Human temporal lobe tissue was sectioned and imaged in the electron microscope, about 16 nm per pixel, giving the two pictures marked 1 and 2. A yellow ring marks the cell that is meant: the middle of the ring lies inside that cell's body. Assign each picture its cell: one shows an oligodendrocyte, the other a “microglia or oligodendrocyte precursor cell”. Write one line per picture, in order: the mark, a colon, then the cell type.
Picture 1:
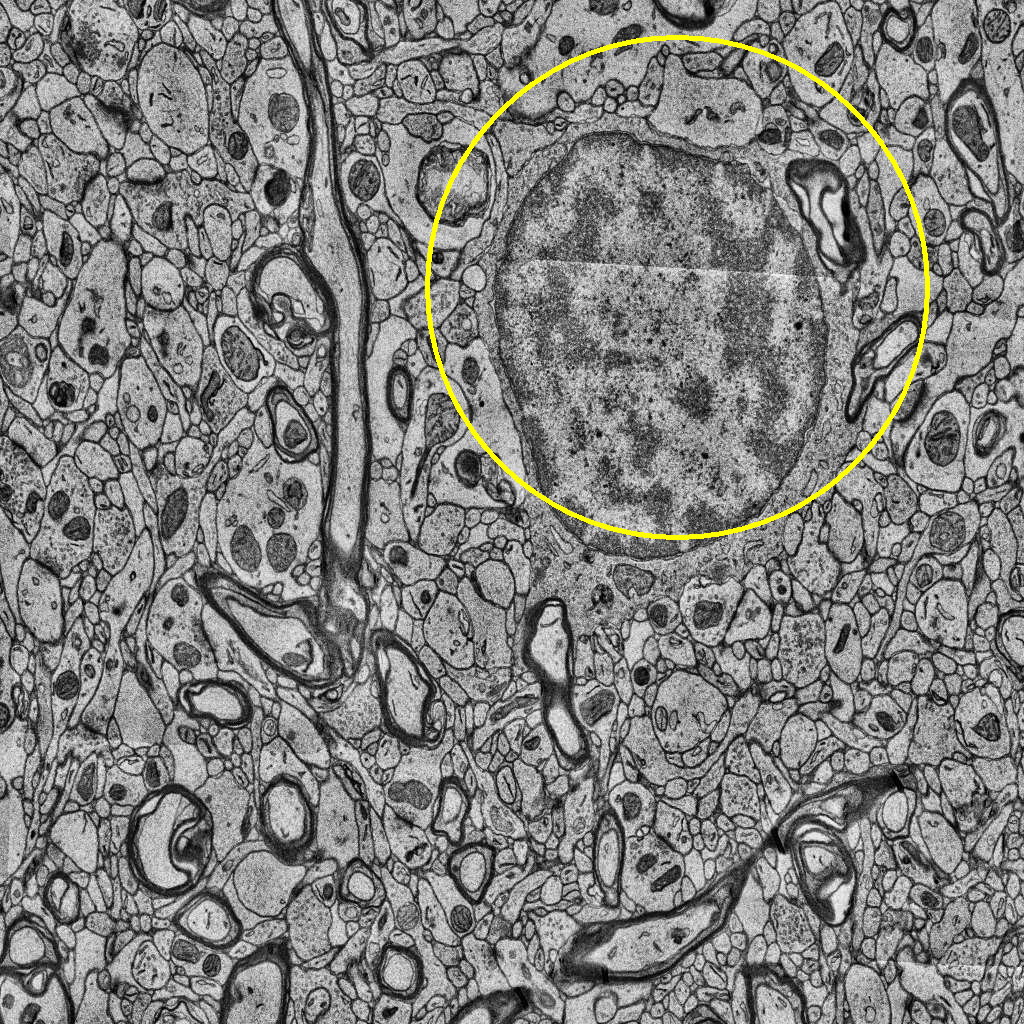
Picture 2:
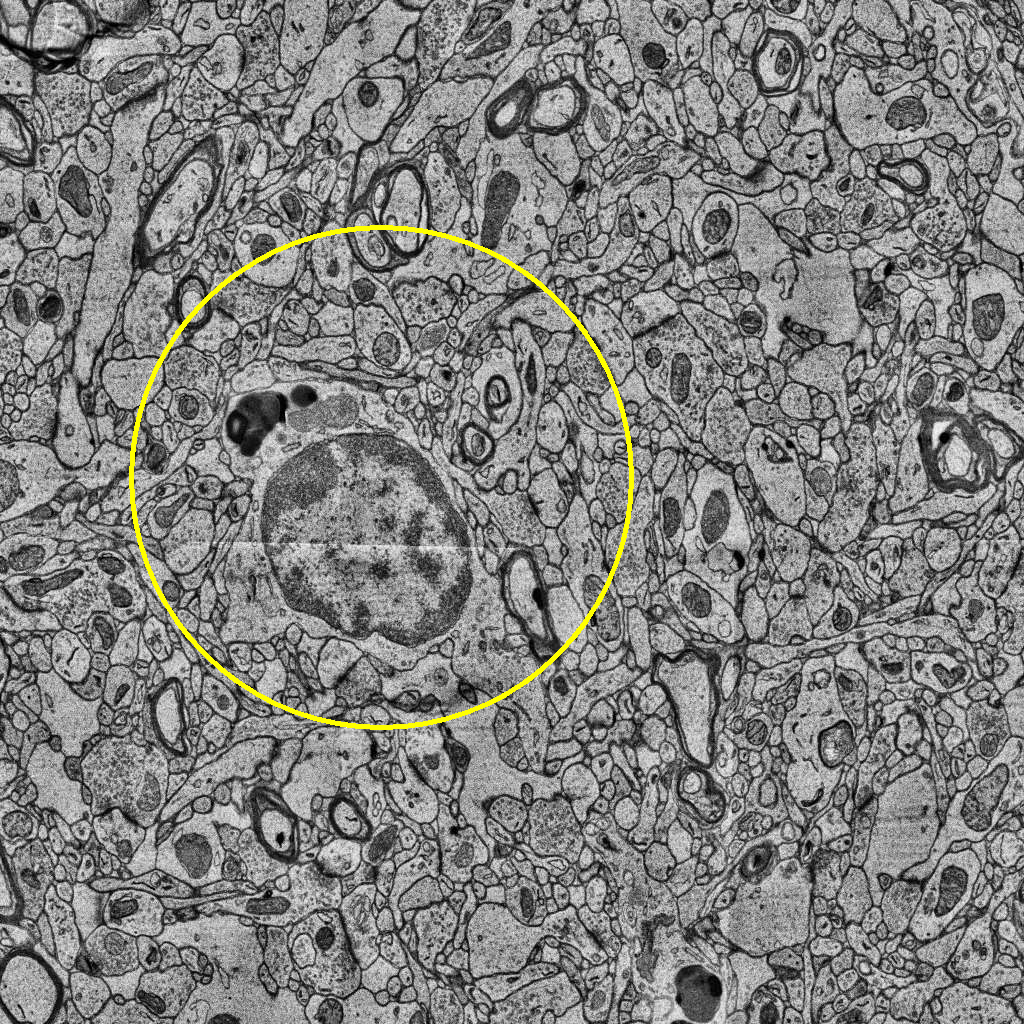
1: oligodendrocyte
2: microglia or oligodendrocyte precursor cell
